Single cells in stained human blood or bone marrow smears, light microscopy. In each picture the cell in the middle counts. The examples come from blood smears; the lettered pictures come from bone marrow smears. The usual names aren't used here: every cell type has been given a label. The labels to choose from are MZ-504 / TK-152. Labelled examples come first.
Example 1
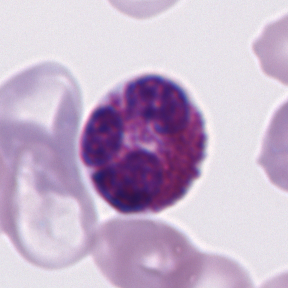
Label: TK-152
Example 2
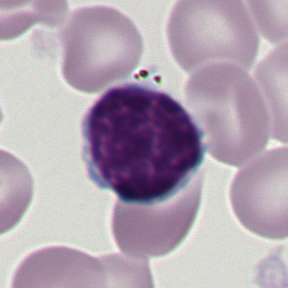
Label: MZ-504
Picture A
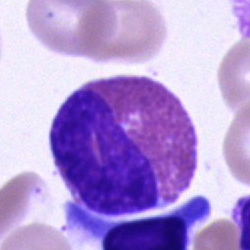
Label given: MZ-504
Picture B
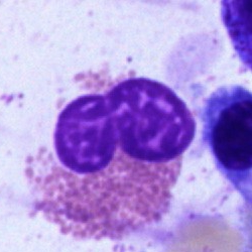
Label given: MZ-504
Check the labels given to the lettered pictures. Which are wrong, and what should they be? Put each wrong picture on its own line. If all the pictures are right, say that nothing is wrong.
A: change MZ-504 to TK-152
B: change MZ-504 to TK-152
